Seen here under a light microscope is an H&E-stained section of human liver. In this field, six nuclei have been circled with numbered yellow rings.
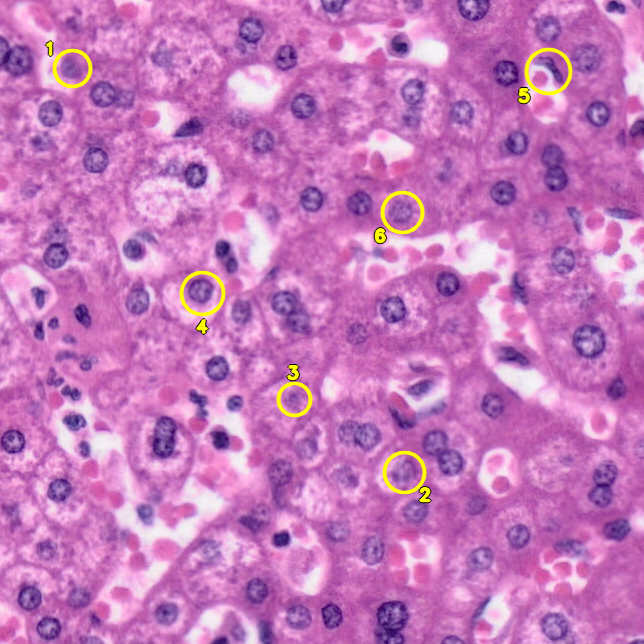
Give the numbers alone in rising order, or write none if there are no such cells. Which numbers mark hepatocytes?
2, 3, 4, 6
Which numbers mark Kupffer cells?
1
